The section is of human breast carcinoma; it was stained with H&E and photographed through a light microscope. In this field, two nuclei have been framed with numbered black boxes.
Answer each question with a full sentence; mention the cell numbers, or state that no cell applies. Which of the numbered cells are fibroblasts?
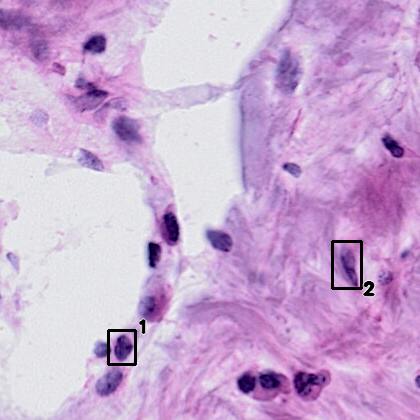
Only number 2 is a fibroblast; none of the others are.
